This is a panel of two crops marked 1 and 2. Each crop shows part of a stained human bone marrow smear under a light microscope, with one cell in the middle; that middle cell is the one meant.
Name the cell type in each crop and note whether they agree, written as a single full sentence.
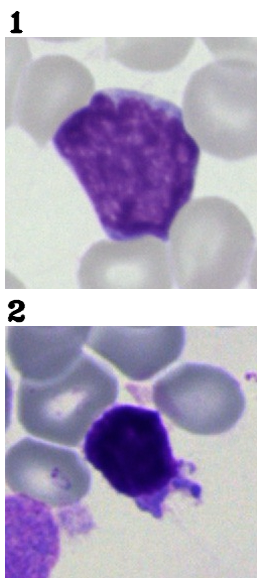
No, the cell at the middle of crop 1 is a blast, while crop 2 centres on a lymphocyte.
